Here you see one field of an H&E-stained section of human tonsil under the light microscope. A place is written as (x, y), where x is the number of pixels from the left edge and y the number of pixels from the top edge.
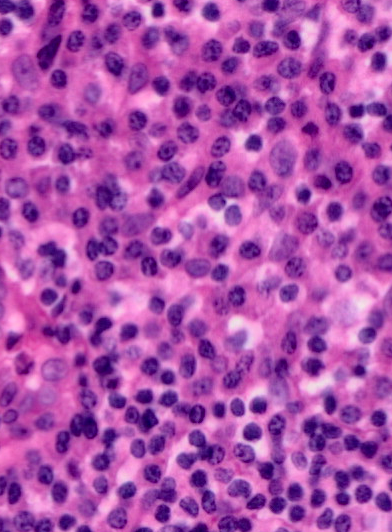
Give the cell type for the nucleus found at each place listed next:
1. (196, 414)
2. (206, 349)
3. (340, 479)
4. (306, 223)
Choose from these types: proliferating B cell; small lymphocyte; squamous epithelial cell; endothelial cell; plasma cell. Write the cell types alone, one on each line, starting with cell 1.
plasma cell
plasma cell
small lymphocyte
plasma cell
